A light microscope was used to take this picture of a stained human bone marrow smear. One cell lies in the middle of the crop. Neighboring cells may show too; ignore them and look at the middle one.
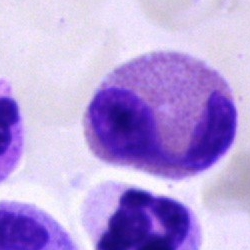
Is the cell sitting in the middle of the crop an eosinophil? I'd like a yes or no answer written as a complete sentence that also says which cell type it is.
Yes, the identity of the central cell is that of an eosinophil.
